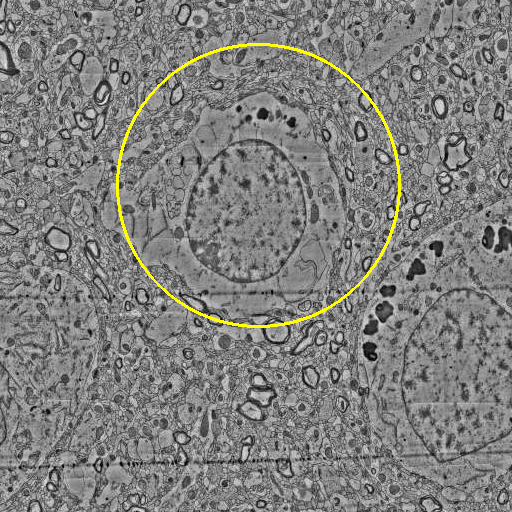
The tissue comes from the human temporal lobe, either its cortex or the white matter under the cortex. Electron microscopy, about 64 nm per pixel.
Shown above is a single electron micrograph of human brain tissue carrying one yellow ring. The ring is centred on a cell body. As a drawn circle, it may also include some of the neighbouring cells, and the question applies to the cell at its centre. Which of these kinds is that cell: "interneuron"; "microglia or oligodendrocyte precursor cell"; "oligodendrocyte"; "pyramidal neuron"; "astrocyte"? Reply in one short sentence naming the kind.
The cell marked by the ring is an astrocyte.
